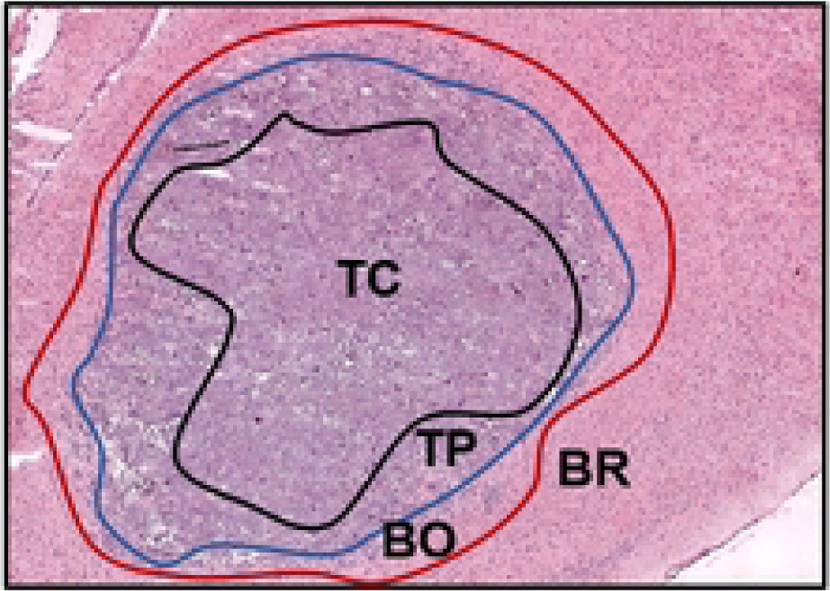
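Paler pink brain tissue surrounds it. The tumour looks crowded and mottled with closely packed nuclei, while the adjacent brain is more evenly pink and less cellular.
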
